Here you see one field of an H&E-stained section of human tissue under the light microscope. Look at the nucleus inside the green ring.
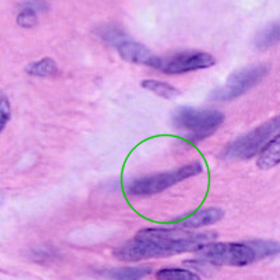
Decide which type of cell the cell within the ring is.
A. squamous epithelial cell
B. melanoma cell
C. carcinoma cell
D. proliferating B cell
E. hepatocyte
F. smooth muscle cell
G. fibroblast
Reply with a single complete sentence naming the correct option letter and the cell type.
It is option F that correctly calls the cell within the ring a smooth muscle cell.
